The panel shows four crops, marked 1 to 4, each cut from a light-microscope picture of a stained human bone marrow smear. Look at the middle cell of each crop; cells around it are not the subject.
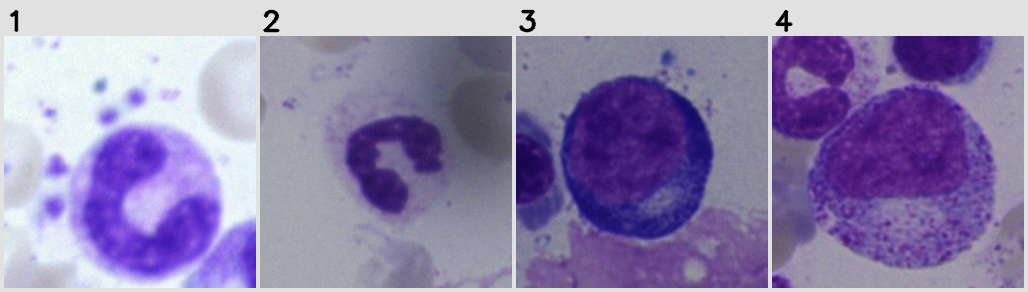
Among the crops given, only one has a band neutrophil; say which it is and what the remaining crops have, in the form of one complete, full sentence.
Going crop by crop, crop 1 is a band neutrophil, while crop 2 is a segmented neutrophil, crop 3 is a proerythroblast and crop 4 is a promyelocyte.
